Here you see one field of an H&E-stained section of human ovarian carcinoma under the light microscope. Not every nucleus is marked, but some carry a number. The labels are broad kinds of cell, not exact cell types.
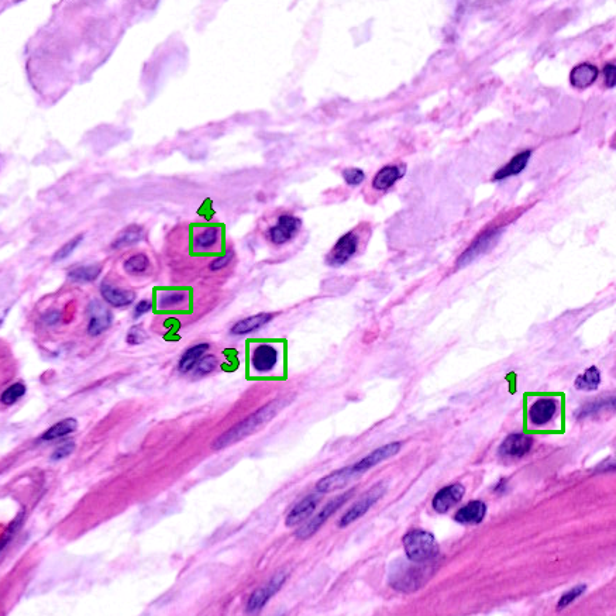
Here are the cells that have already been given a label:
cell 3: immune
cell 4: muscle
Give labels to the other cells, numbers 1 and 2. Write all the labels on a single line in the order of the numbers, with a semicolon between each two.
immune; muscle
